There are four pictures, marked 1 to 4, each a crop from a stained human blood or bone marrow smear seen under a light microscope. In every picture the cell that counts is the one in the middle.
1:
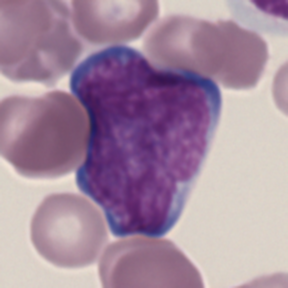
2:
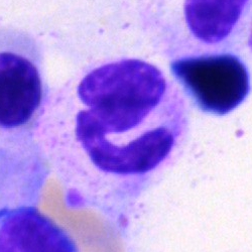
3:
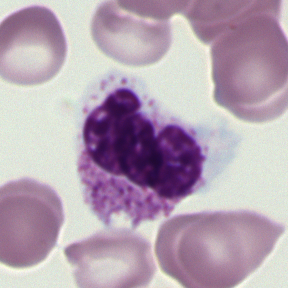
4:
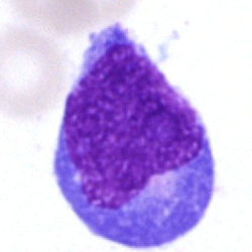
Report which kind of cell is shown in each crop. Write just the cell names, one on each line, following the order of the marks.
blast
segmented neutrophil
segmented neutrophil
blast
